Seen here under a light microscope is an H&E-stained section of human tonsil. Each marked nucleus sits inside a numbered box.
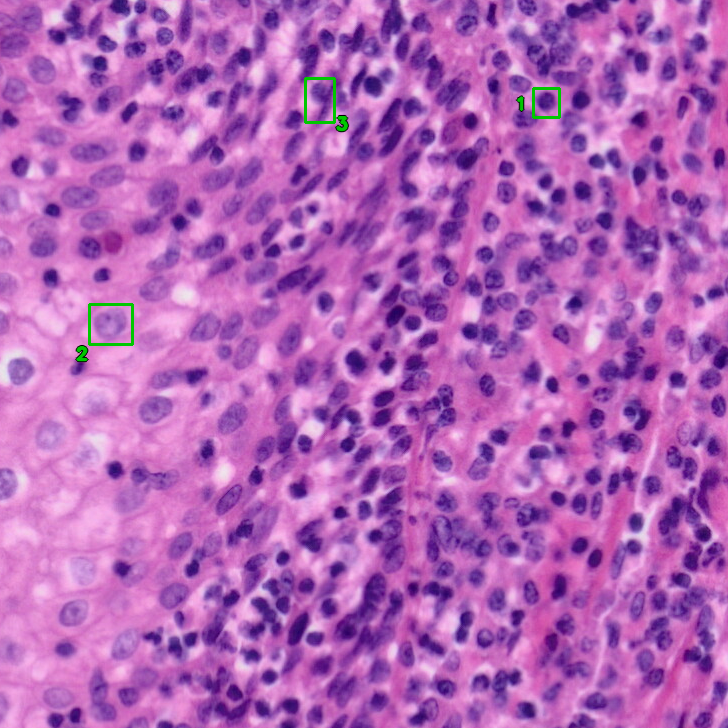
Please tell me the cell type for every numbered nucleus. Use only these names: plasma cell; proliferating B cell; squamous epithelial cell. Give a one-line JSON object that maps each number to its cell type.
{"1": "plasma cell", "2": "squamous epithelial cell", "3": "squamous epithelial cell"}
